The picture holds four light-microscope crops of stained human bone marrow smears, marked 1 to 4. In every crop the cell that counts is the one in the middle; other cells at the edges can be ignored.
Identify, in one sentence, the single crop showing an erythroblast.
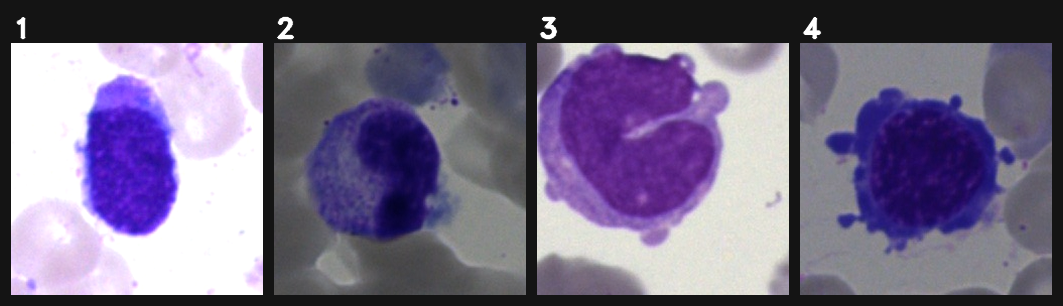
Look at crop 4; that is the one with an erythroblast in its center.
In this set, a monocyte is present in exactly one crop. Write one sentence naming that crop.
It is crop 3 that shows a monocyte.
